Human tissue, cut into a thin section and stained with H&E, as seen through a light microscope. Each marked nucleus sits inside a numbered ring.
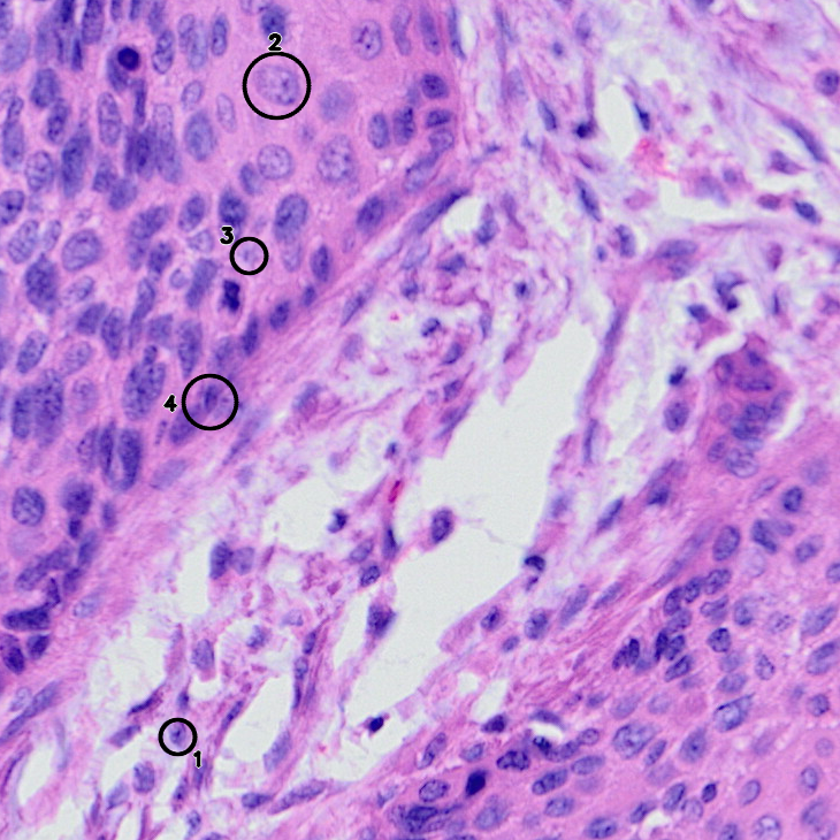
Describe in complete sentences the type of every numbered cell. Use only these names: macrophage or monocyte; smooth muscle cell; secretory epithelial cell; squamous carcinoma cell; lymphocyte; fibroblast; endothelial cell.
Cell 1 is a fibroblast. Cells 2, 3 and 4 are squamous carcinoma cells.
